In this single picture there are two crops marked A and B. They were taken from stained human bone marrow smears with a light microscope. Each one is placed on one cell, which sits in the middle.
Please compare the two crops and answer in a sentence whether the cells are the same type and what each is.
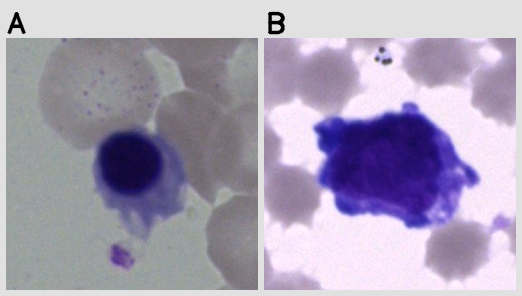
No, that is not right; crop A shows an erythroblast and crop B shows a blast.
